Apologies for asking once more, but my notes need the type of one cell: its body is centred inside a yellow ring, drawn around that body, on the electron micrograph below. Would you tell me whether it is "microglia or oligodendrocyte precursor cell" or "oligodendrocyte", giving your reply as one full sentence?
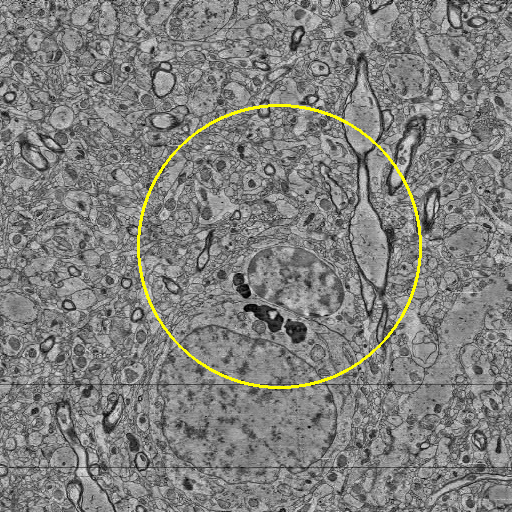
The cell that the yellow ring is centred on is a microglial cell or oligodendrocyte precursor cell in this micrograph.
